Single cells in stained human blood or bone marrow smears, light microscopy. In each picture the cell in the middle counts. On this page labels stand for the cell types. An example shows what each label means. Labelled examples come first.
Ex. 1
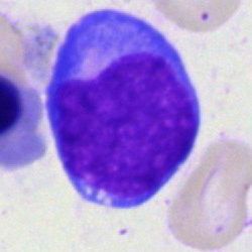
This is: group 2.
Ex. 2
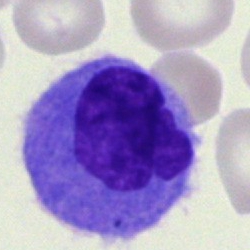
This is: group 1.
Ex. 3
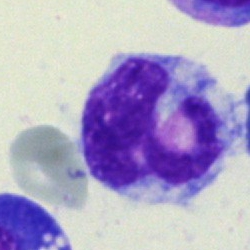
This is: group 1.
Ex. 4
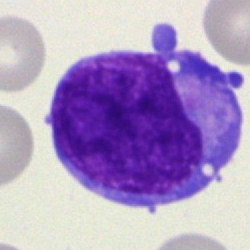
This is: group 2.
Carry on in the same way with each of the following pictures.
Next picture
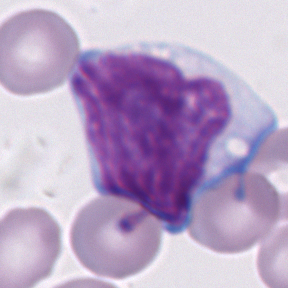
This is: group 2.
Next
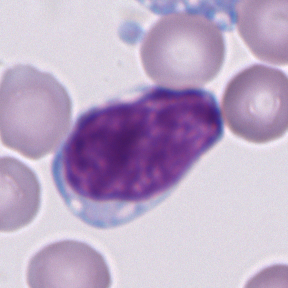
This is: group 2.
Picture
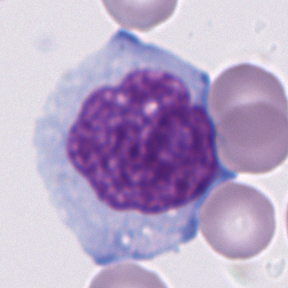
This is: group 2.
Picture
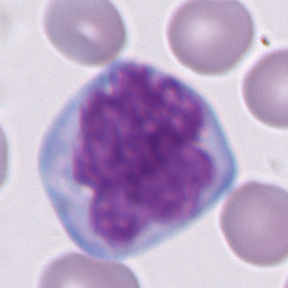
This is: group 2.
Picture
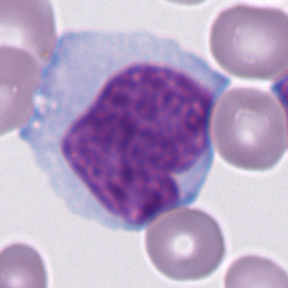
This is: group 2.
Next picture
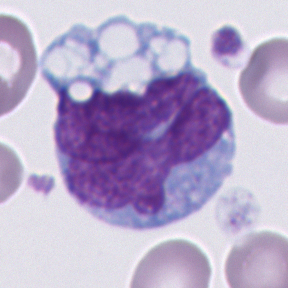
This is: group 1.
